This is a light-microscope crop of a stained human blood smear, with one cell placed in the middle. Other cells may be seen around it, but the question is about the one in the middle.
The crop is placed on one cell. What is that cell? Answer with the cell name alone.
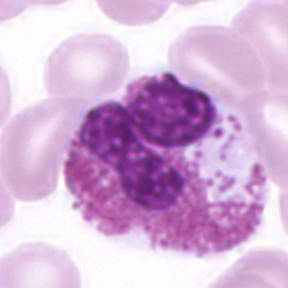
eosinophil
